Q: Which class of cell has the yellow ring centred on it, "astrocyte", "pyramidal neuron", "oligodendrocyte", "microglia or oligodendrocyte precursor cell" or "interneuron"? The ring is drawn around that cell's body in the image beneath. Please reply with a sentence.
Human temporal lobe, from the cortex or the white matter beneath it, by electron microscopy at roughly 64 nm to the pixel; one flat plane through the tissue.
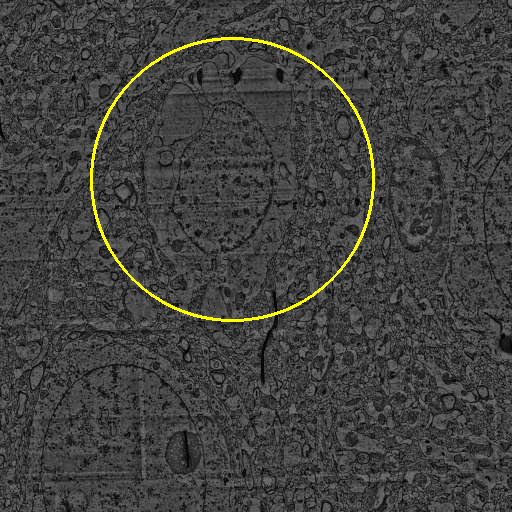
It is centred on an astrocyte.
